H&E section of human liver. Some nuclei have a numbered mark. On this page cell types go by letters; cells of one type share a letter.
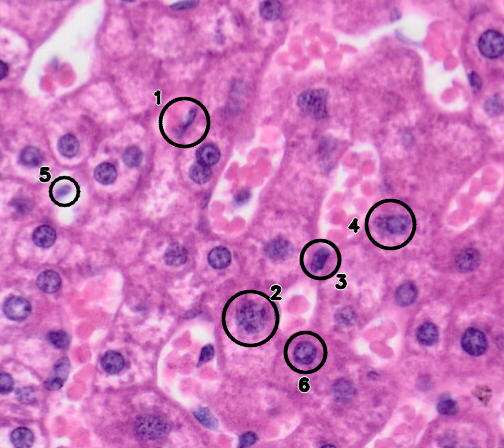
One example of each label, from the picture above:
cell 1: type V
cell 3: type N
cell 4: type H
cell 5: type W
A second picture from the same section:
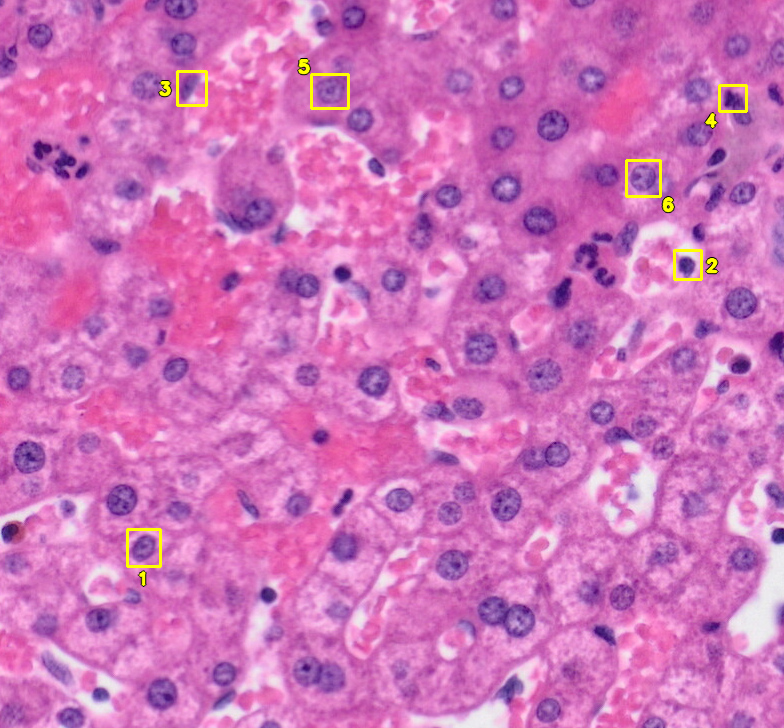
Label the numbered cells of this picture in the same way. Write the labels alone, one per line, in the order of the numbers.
type H
type W
type V
type N
type H
type H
